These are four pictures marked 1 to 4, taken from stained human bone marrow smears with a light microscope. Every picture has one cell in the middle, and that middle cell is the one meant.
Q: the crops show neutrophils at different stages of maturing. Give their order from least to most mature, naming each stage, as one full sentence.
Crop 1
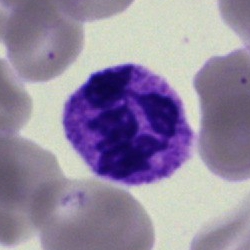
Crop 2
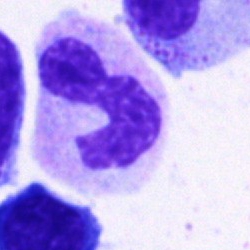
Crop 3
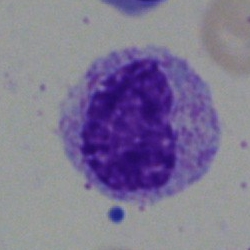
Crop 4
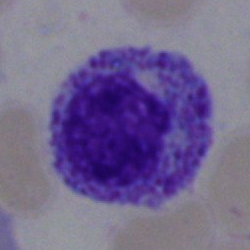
Least to most mature, the order stands as crop 4 (a myelocyte), crop 3 (a metamyelocyte), crop 2 (a band neutrophil) and crop 1 (a segmented neutrophil).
